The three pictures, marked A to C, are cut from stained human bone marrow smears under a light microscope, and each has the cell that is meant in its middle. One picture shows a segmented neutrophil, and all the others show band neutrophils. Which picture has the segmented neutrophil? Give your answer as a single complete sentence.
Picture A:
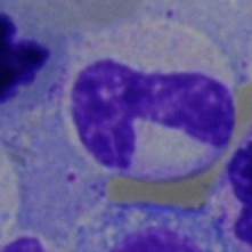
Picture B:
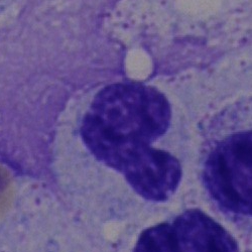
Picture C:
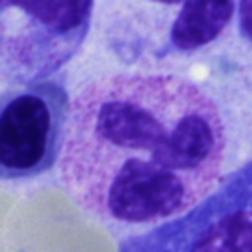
Picture C shows the segmented neutrophil.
